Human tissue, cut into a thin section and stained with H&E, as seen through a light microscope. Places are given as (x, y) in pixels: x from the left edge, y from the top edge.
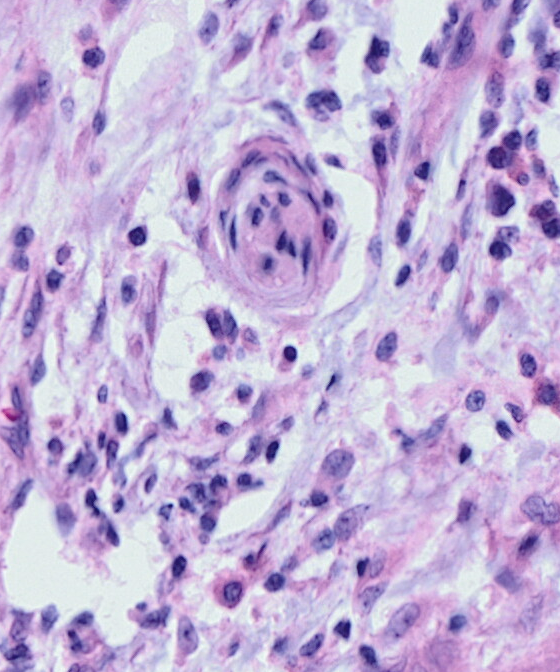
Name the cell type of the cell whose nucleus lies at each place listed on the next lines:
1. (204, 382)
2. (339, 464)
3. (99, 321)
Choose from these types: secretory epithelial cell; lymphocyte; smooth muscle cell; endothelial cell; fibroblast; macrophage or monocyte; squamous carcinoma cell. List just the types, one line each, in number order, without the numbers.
lymphocyte
macrophage or monocyte
fibroblast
